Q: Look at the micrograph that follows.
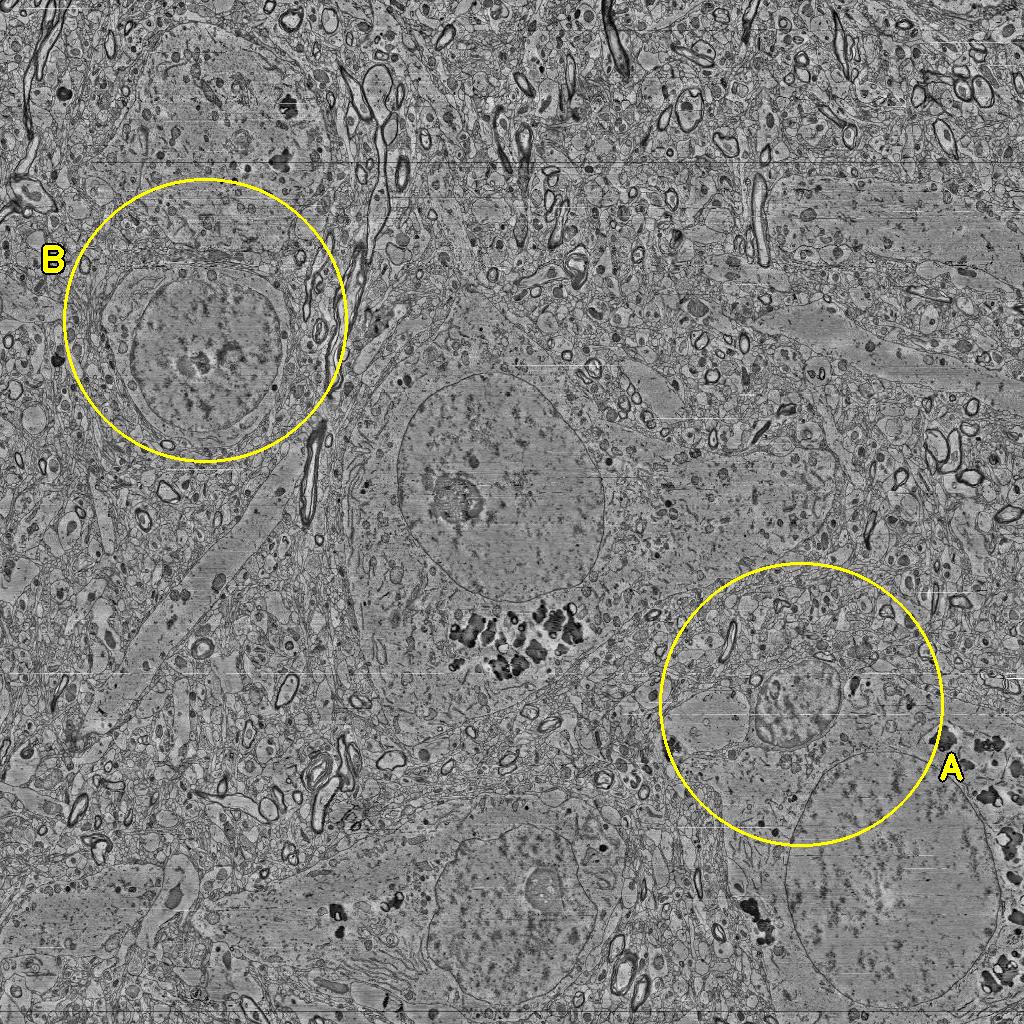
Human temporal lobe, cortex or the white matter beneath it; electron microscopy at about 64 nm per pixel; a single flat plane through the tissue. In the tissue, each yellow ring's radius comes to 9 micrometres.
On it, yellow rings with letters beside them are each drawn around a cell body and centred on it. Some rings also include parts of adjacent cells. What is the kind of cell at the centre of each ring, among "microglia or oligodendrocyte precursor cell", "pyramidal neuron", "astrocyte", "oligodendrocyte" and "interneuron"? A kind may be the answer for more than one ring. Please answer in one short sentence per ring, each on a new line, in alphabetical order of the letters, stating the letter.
Ring A surrounds the cell body of an oligodendrocyte.
Ring B surrounds the cell body of an interneuron.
